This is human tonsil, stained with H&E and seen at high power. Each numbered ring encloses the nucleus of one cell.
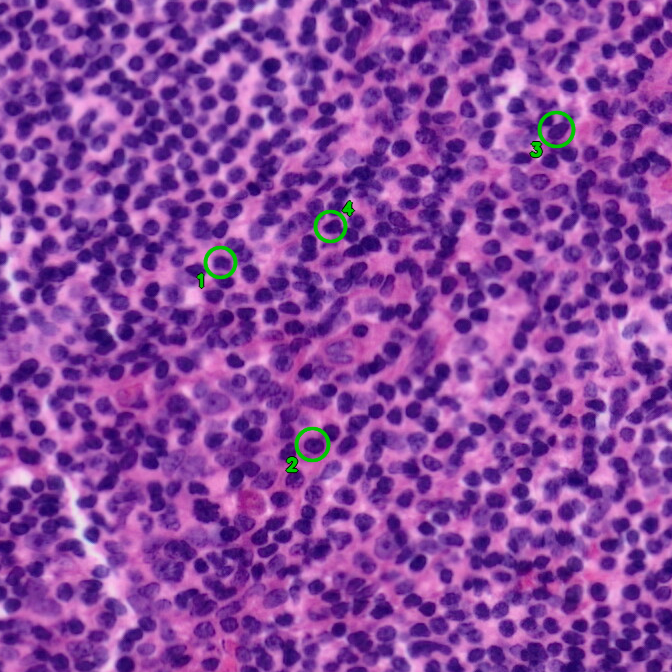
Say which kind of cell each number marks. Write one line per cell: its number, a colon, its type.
1: small lymphocyte
2: plasma cell
3: small lymphocyte
4: small lymphocyte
